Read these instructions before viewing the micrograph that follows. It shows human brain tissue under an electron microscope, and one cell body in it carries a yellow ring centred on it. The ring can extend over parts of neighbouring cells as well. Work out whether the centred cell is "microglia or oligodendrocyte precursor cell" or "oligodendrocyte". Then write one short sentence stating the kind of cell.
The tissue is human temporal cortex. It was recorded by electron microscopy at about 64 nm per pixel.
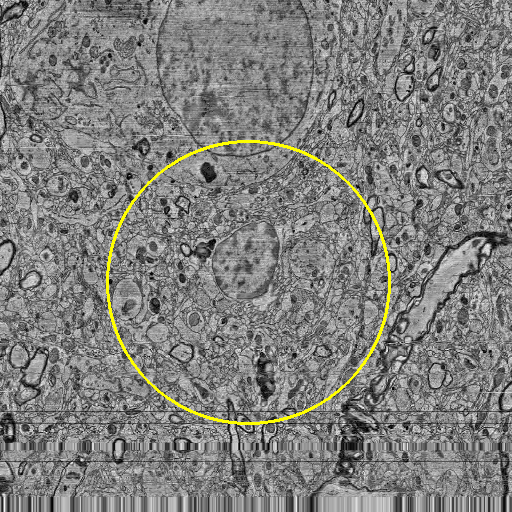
The ringed cell is a microglial cell or oligodendrocyte precursor cell.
